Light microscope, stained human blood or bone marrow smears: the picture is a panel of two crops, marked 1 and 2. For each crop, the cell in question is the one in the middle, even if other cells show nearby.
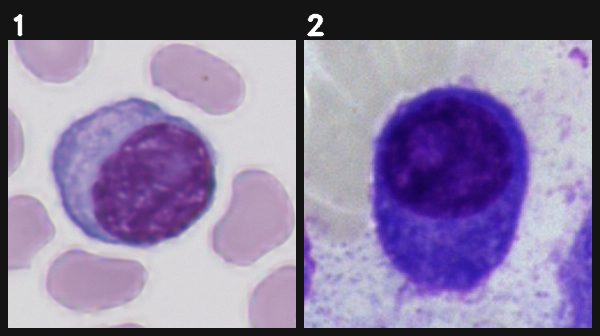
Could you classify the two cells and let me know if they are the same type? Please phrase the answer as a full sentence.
Yes, the cells at the centres of the two crops are plasma cells.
